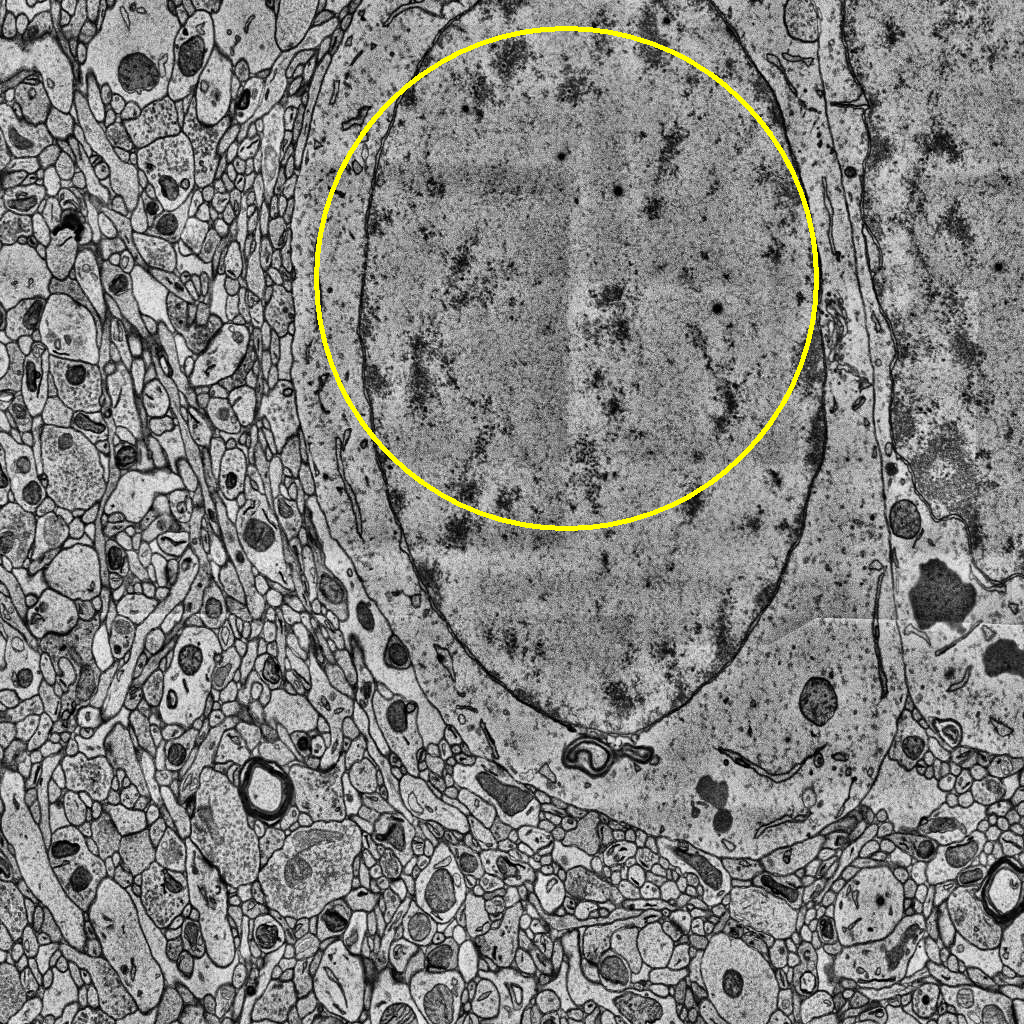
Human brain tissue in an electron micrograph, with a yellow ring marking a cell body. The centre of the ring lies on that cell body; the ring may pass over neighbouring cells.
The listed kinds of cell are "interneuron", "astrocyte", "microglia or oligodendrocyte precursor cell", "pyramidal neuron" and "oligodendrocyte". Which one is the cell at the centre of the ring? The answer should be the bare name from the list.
pyramidal neuron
